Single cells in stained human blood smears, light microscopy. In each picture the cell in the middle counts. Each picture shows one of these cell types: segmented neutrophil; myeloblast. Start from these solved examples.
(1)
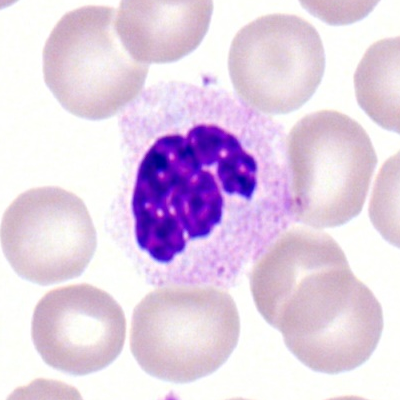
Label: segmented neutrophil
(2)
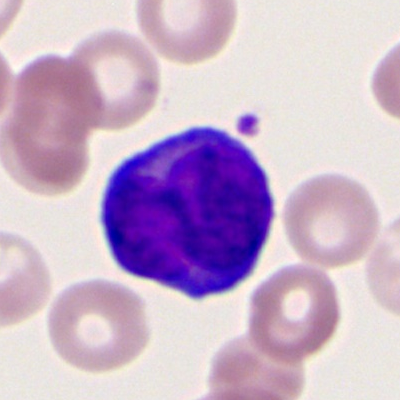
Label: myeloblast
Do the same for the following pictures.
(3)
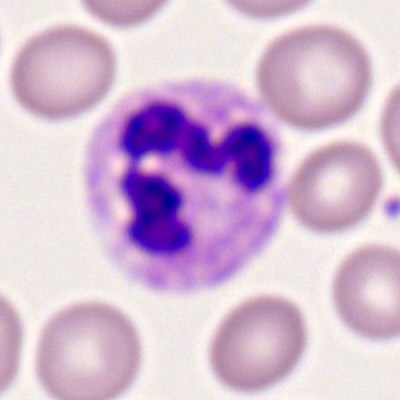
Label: segmented neutrophil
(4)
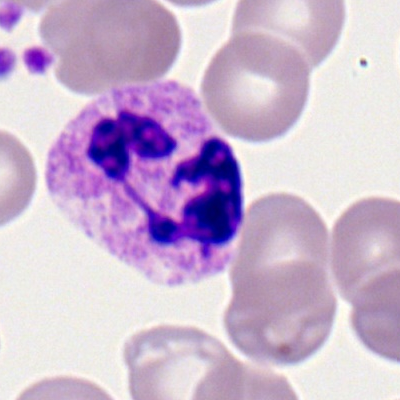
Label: segmented neutrophil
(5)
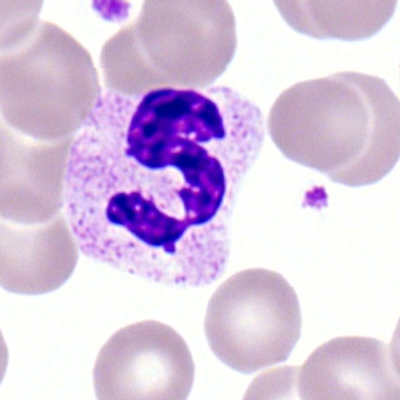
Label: segmented neutrophil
